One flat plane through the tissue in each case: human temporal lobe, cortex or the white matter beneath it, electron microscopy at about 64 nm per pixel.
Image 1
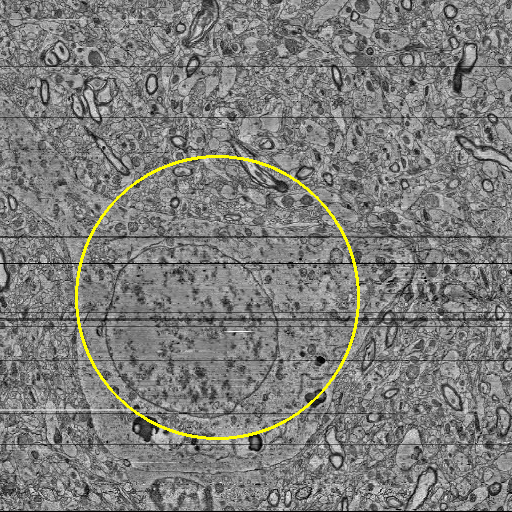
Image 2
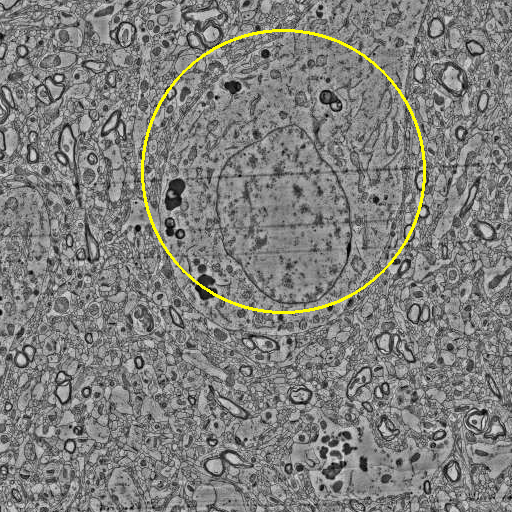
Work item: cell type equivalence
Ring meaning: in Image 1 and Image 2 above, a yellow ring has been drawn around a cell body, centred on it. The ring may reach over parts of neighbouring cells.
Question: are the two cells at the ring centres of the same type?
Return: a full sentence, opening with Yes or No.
Yes, the two centred cells are of the same type.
